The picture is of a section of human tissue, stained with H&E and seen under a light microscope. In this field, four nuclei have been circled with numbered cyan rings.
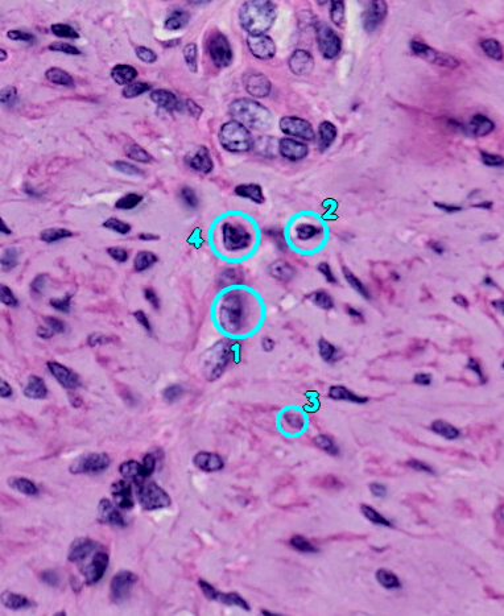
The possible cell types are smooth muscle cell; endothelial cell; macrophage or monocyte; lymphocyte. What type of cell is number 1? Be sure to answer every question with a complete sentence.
The expected answer is that cell 1 is an endothelial cell.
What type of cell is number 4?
Of the numbered cells, the one labelled 4 is a lymphocyte.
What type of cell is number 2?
Identified as a lymphocyte is the cell bearing the number 2.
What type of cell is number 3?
The cell numbered 3 represents a smooth muscle cell.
